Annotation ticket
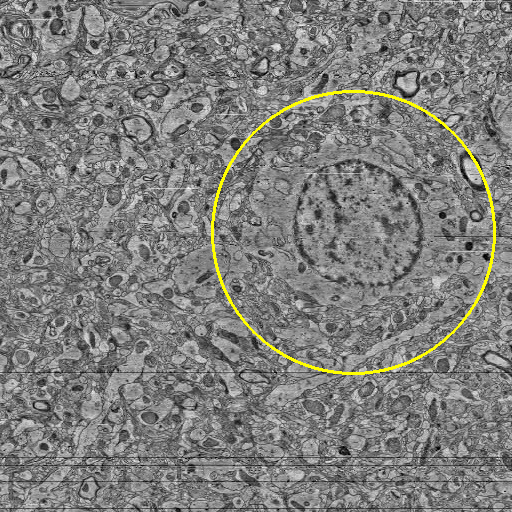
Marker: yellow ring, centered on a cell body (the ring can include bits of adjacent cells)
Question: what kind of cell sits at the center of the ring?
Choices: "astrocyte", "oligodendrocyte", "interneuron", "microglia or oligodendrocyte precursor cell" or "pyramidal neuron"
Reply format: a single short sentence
The ring is centered on an astrocyte.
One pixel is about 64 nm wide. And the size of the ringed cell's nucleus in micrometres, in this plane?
About 8 micrometres across in this plane, for the nucleus.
